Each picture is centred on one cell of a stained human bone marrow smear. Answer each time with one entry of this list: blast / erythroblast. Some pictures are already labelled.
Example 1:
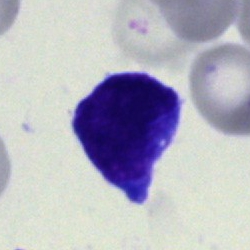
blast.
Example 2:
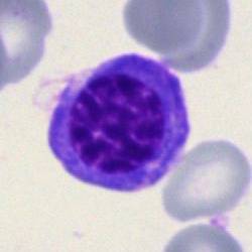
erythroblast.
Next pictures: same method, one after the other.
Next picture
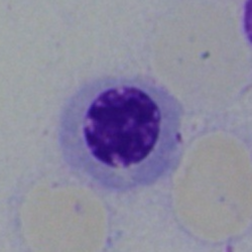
erythroblast.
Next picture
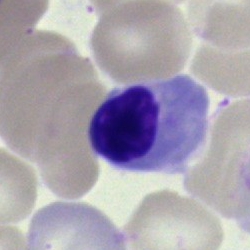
erythroblast.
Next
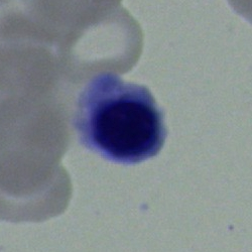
erythroblast.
